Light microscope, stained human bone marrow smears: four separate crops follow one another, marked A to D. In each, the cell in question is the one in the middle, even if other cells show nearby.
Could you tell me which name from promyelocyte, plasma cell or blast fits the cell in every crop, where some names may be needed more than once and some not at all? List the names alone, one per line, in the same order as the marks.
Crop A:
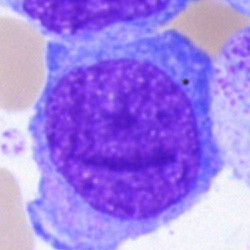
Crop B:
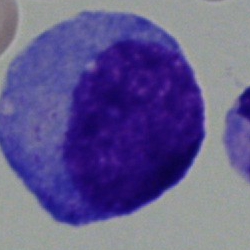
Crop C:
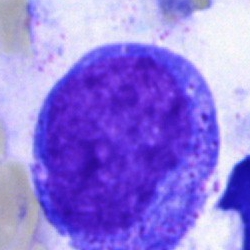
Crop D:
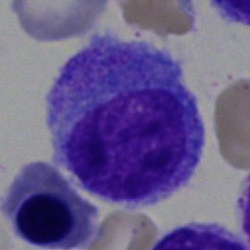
blast
promyelocyte
promyelocyte
promyelocyte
